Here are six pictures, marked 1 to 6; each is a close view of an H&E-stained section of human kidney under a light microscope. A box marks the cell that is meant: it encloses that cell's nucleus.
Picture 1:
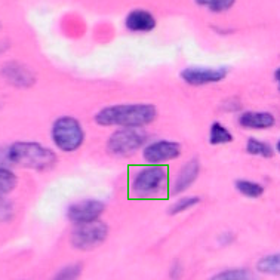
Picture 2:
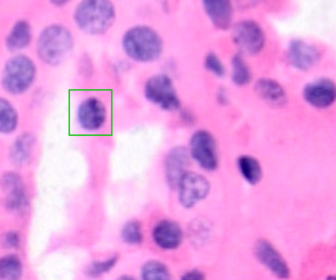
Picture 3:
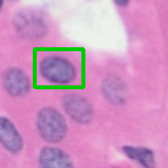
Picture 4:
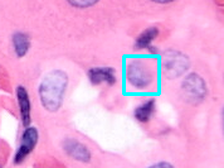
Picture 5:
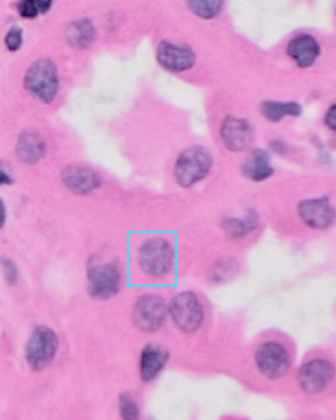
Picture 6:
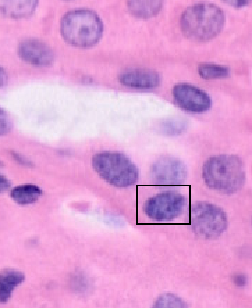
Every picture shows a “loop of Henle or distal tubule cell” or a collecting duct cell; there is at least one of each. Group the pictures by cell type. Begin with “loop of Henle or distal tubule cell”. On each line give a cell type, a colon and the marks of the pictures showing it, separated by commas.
loop of Henle or distal tubule cell: 3, 5
collecting duct cell: 1, 2, 4, 6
